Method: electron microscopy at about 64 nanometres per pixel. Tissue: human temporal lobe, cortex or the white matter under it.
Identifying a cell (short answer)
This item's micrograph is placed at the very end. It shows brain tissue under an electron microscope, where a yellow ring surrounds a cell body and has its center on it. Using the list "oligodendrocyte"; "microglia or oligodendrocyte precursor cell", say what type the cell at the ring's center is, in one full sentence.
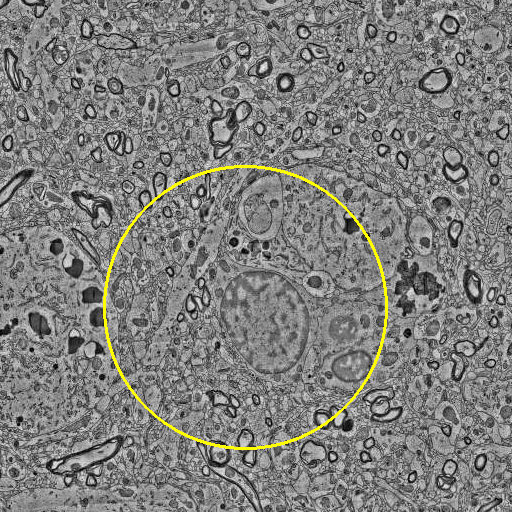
This picture shows an oligodendrocyte at the center of the yellow ring drawn on it.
